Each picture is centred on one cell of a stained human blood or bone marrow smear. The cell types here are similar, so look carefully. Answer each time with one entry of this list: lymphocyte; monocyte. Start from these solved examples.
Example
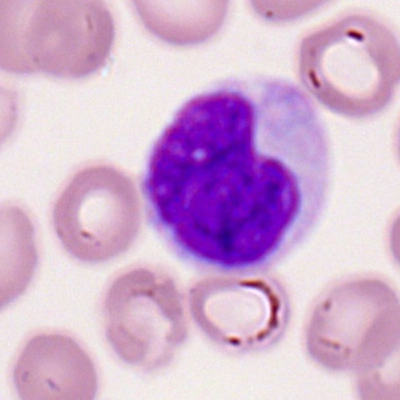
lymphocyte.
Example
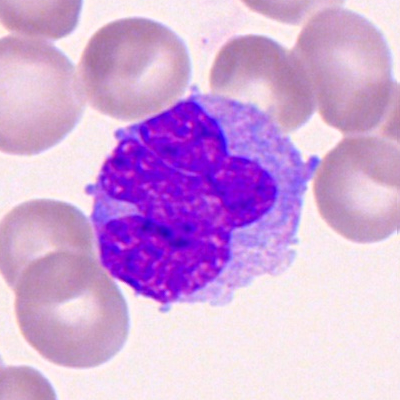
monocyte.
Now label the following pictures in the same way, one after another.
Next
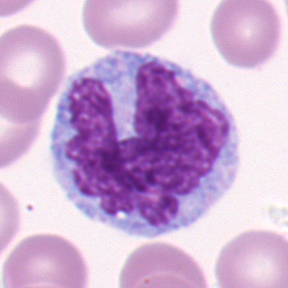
monocyte.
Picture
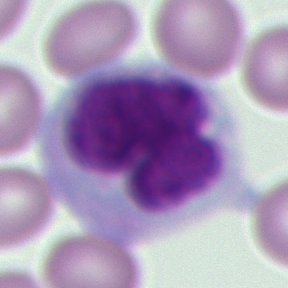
monocyte.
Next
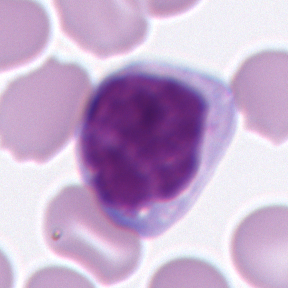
lymphocyte.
